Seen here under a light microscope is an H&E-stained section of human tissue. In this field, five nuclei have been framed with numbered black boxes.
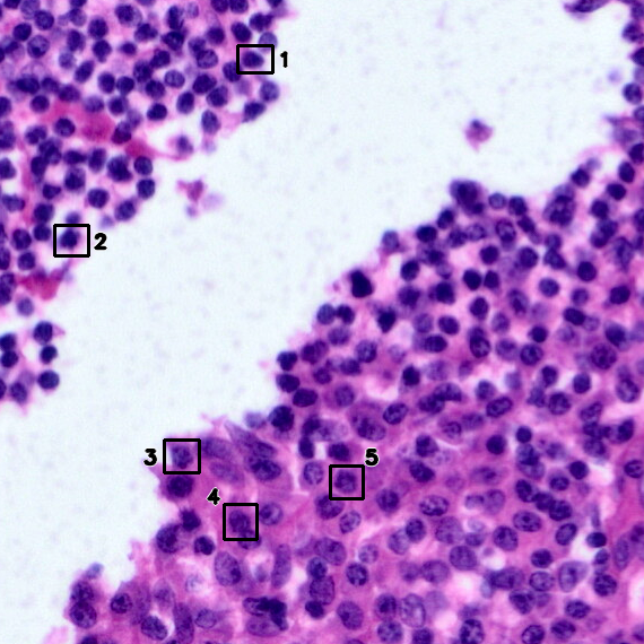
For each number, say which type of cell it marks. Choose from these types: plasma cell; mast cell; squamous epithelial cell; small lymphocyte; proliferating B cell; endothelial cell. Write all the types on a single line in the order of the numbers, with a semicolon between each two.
small lymphocyte; small lymphocyte; plasma cell; plasma cell; plasma cell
